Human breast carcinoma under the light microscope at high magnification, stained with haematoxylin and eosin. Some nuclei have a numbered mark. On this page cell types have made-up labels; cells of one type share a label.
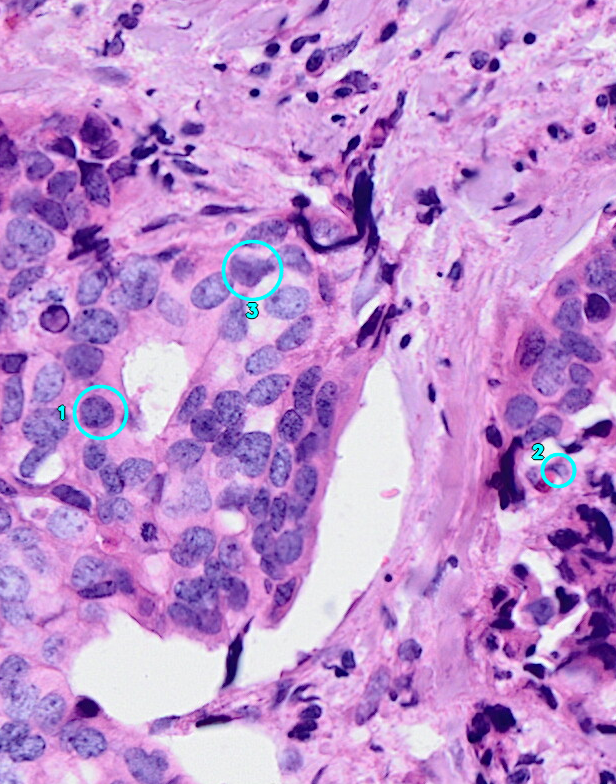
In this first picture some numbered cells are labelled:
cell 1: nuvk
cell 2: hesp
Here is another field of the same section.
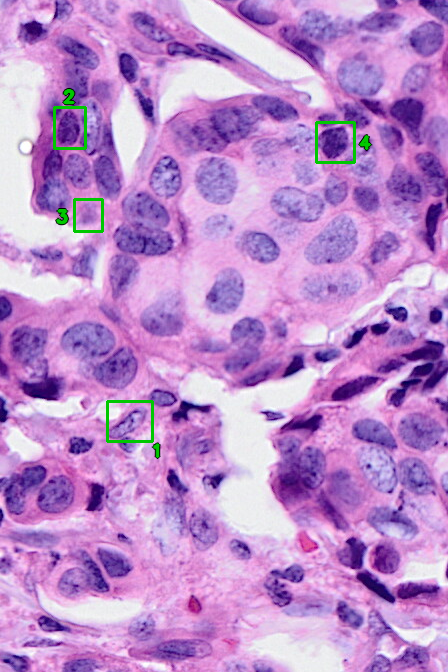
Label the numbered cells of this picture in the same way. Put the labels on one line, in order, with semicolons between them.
hesp; nuvk; nuvk; nuvk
